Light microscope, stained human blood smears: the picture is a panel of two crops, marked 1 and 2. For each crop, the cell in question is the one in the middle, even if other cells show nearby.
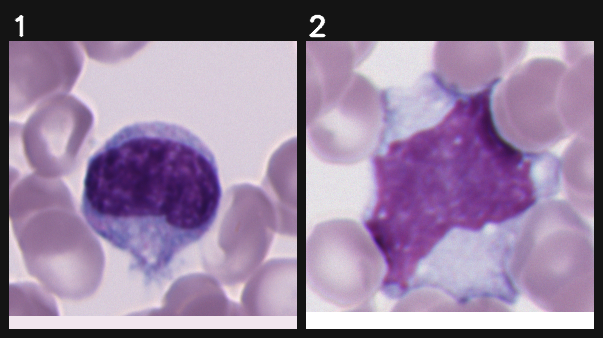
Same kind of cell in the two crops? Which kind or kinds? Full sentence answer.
Yes, monocytes are the cells shown in both crops.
